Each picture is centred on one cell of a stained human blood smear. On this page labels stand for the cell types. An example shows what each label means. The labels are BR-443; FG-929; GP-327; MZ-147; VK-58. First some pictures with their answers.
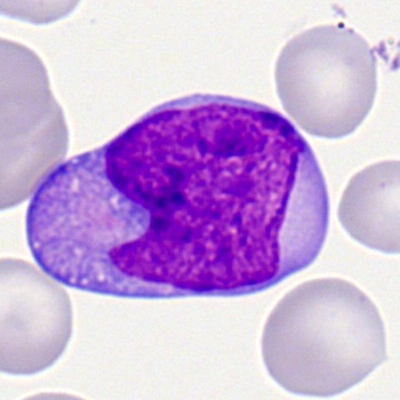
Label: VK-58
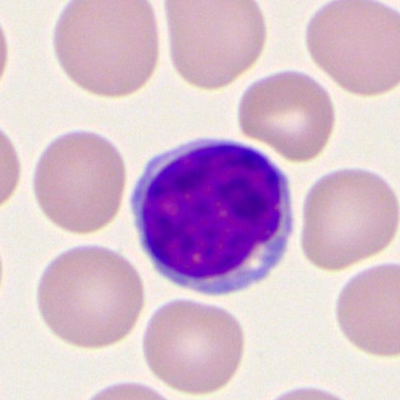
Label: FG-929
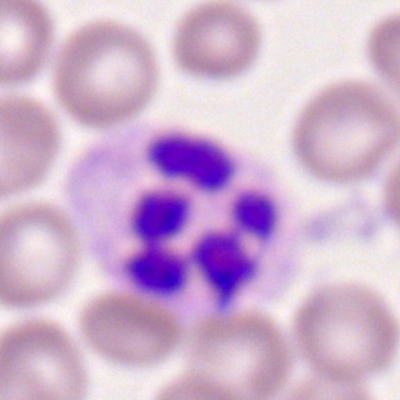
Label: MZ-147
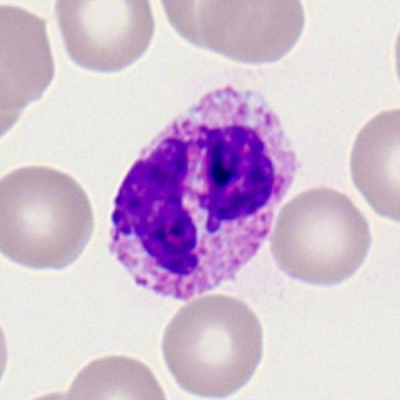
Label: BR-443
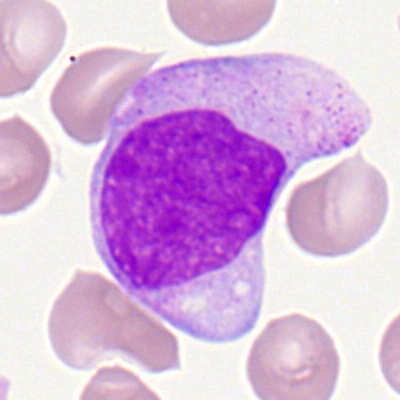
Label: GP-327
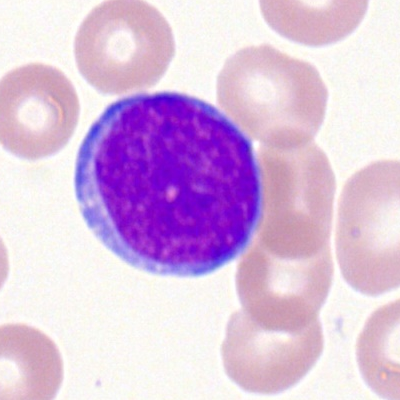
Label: VK-58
